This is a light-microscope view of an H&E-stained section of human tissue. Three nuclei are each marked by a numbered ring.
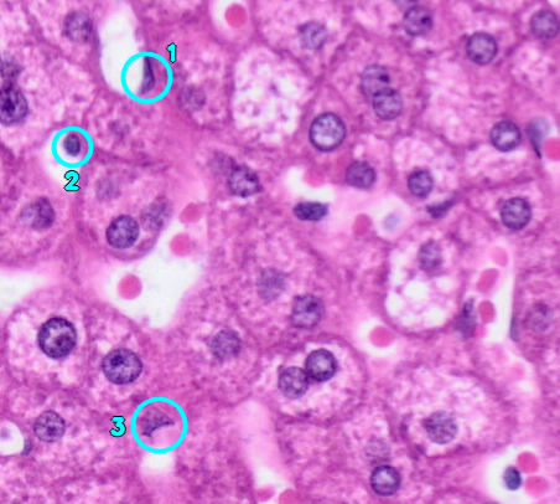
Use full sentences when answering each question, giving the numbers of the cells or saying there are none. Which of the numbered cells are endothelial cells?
Within this tissue, the cells numbered 1 and 3 are endothelial cells.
